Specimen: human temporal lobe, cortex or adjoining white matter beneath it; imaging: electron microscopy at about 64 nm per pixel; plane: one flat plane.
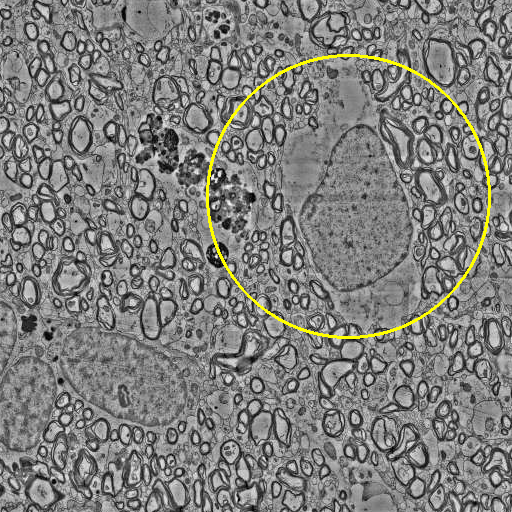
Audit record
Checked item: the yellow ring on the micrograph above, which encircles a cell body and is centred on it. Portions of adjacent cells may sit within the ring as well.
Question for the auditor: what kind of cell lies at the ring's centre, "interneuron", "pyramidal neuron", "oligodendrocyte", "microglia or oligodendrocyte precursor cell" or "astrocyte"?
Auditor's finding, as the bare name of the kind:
astrocyte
